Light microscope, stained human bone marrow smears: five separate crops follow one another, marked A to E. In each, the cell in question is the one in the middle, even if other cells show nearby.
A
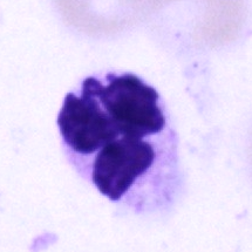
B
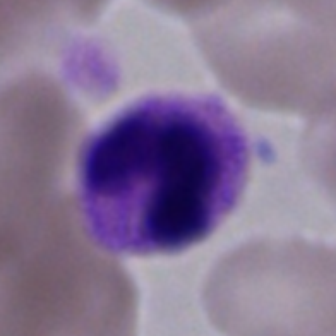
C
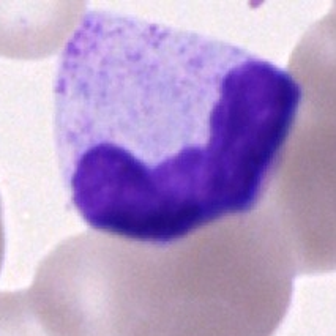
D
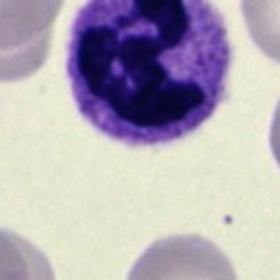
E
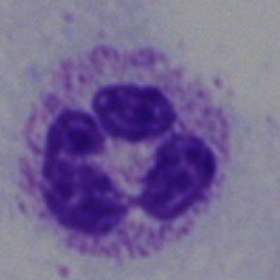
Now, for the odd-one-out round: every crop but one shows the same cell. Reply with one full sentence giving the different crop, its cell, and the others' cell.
Crop C presents a band neutrophil, while segmented neutrophils are presented by all other crops.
